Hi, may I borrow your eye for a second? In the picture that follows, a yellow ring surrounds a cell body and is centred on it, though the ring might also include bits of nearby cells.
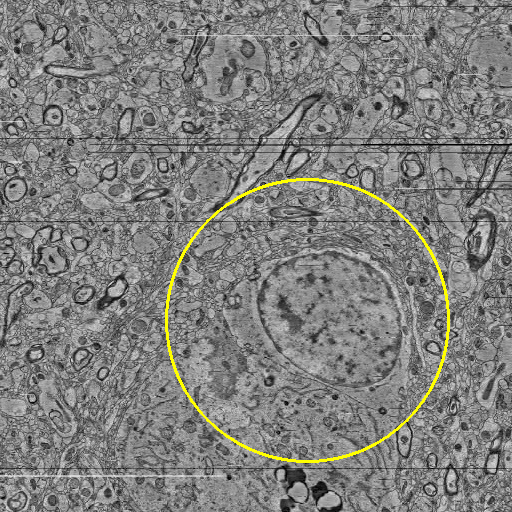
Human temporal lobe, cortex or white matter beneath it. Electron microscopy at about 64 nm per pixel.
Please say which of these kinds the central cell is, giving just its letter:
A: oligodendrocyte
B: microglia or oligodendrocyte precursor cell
B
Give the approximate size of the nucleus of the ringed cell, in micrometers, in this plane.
In this plane the nucleus is about 10 micrometres by 8.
